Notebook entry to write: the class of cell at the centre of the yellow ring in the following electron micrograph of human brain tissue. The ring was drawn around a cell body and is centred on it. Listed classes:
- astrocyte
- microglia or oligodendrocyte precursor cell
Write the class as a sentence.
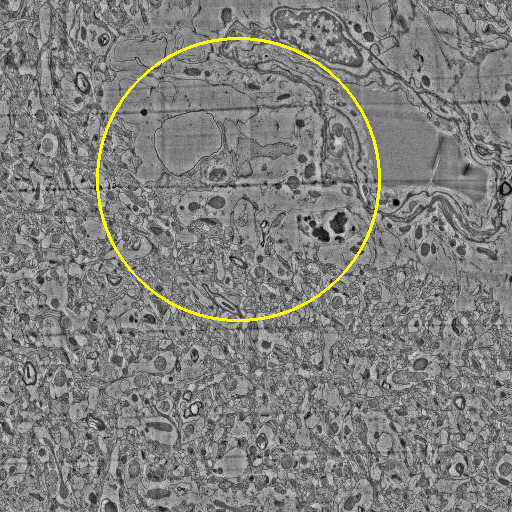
The yellow ring sits on a microglial cell or oligodendrocyte precursor cell.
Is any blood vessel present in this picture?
Yes, there is one.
